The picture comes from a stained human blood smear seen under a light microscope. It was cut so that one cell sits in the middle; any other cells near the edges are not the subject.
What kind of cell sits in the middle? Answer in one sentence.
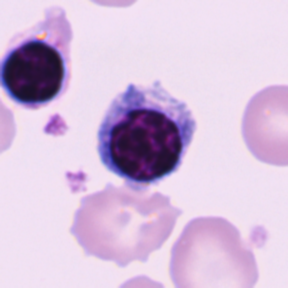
Centred in the crop is an erythroblast.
